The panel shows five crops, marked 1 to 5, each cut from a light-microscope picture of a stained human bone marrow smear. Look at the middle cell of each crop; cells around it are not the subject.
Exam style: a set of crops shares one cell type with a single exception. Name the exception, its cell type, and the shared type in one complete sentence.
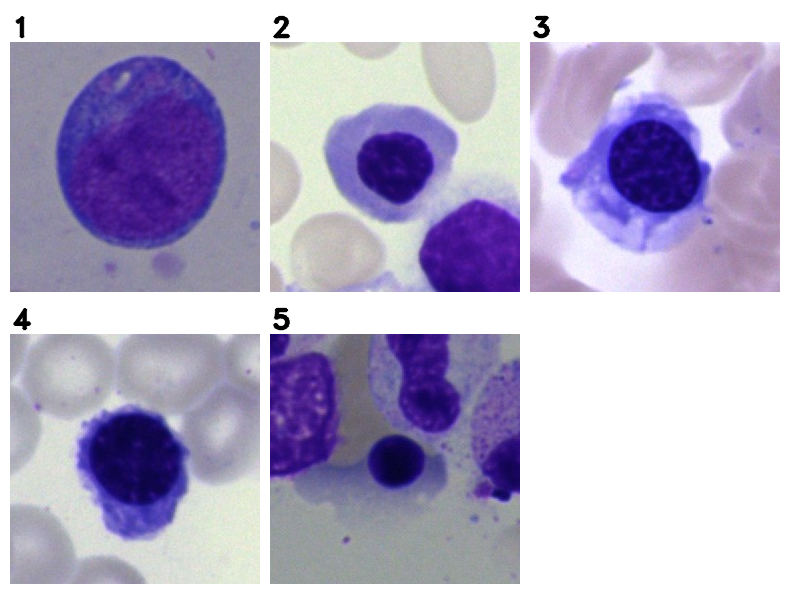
What sets crop 1 apart is that it shows a blast, while the others show erythroblasts.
